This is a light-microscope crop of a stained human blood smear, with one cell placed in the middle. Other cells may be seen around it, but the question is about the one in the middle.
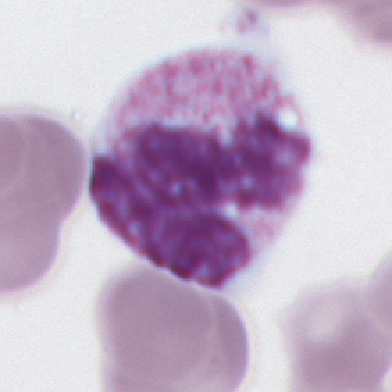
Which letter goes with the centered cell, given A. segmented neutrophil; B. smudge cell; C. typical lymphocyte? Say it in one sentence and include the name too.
Option A is accurate; the centrally placed cell is a segmented neutrophil.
